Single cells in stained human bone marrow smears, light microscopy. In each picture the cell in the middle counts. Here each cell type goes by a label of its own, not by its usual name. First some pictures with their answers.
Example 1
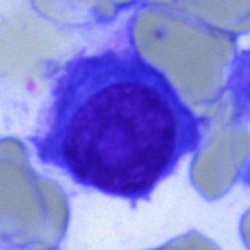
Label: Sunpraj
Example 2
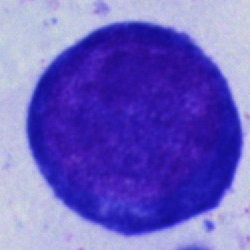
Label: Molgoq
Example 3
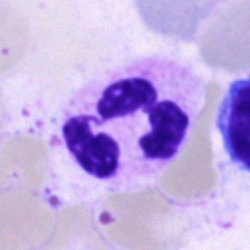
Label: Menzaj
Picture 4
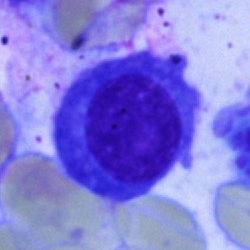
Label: Sunpraj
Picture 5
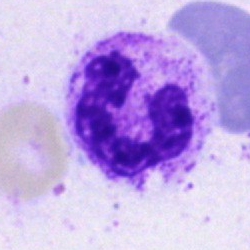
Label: Menzaj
